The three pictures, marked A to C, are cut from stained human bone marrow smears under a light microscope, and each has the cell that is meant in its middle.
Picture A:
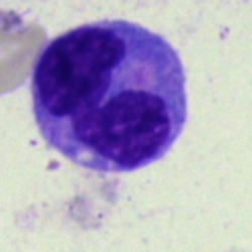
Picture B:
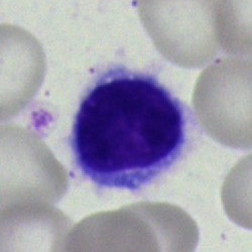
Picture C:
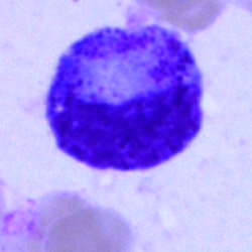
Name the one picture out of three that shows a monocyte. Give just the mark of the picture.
A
